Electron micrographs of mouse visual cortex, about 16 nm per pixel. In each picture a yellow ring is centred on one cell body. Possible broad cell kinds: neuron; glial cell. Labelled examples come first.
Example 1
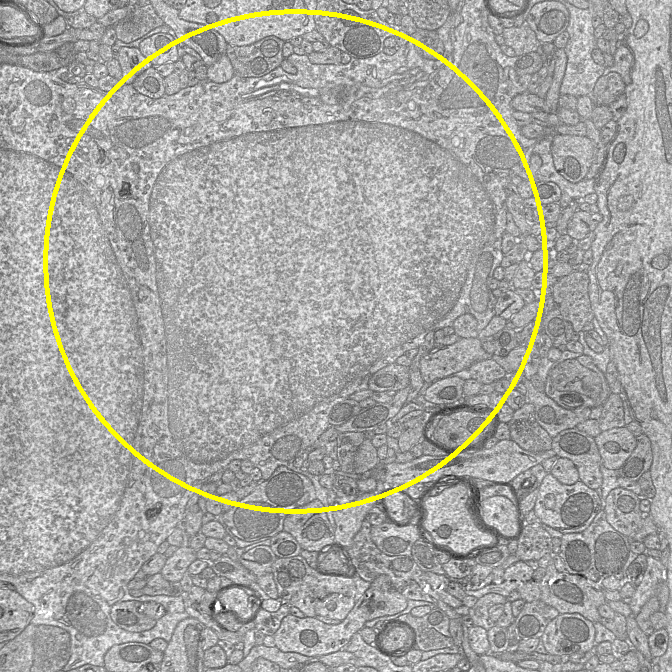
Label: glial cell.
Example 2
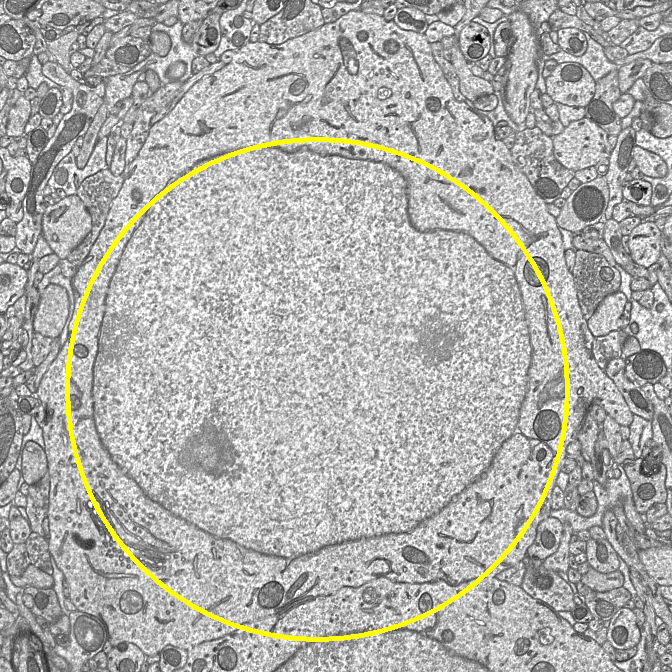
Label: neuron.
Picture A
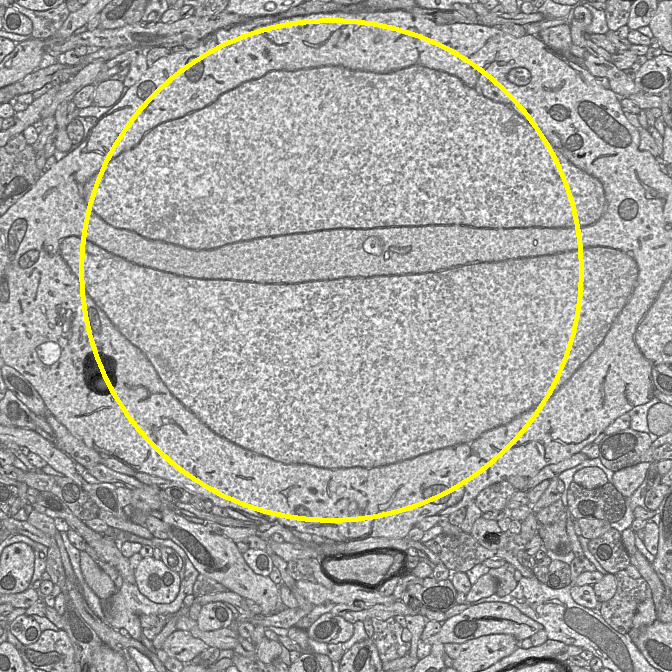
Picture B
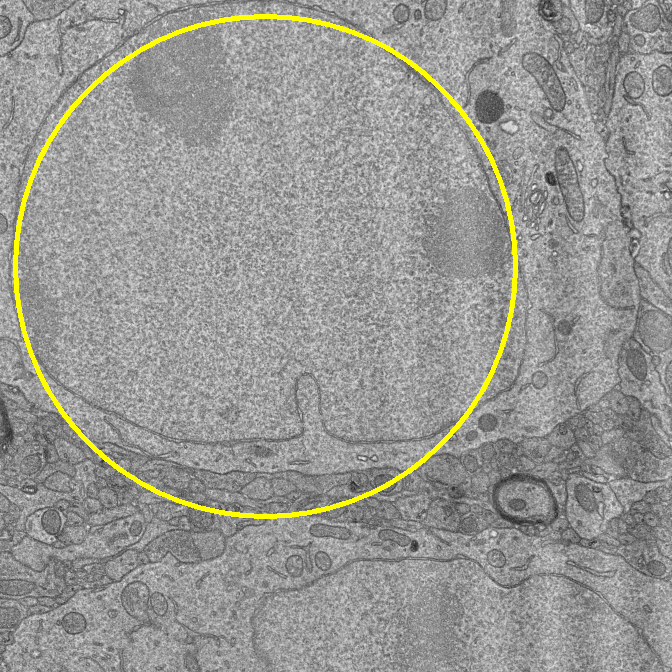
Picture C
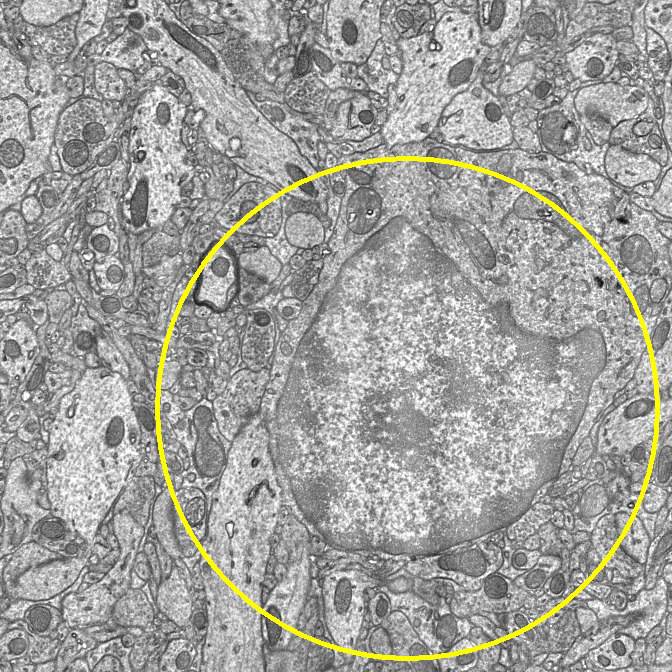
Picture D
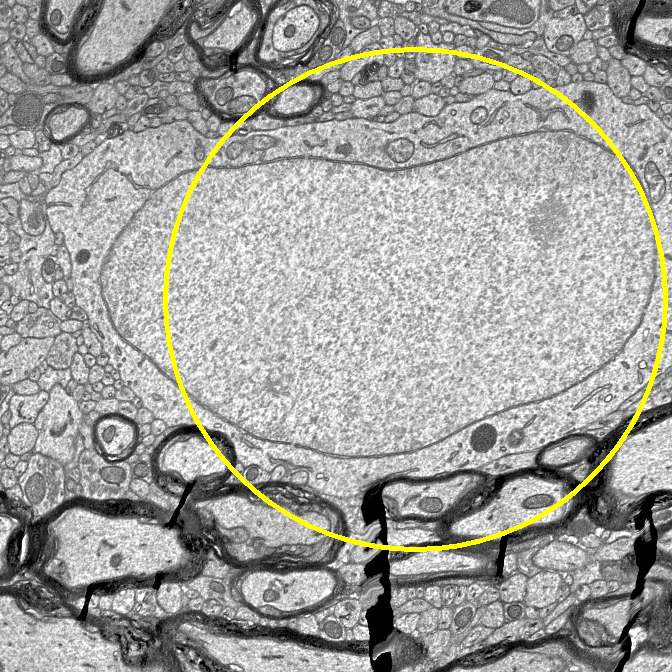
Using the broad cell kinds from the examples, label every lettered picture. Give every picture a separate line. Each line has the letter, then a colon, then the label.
A: neuron.
B: neuron.
C: glial cell.
D: neuron.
